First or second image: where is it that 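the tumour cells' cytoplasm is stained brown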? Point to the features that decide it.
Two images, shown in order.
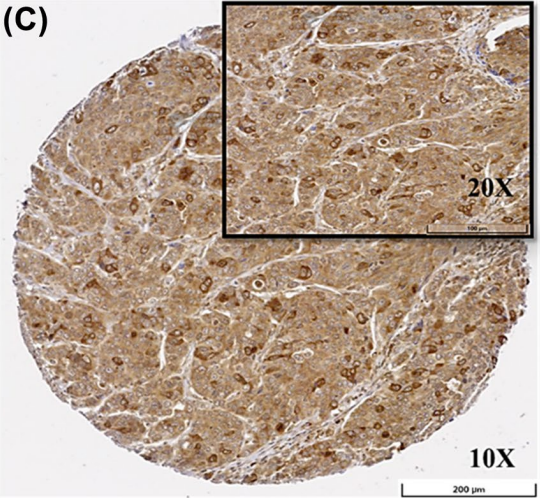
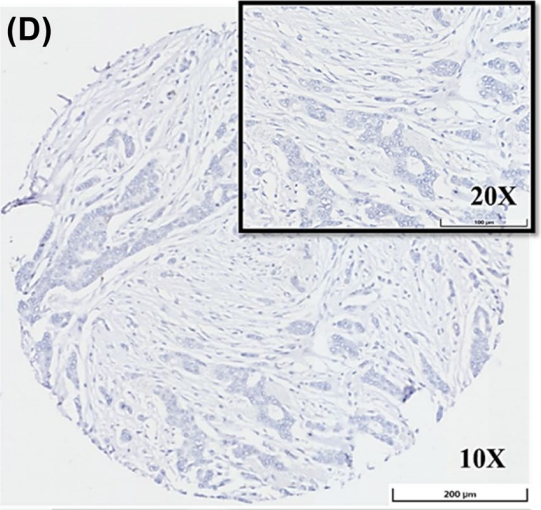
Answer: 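Second image: the tumour cells are only pale blue with no brown colour. First image: nearly all tumour cells carry brown colour in their cell bodies. That points to this answer: the first image.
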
